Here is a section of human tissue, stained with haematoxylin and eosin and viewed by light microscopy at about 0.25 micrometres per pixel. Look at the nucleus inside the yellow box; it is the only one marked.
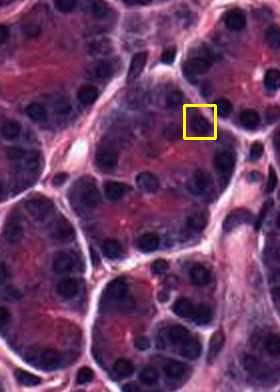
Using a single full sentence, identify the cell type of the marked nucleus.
The owner of the marked nucleus is a pancreatic acinar cell.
